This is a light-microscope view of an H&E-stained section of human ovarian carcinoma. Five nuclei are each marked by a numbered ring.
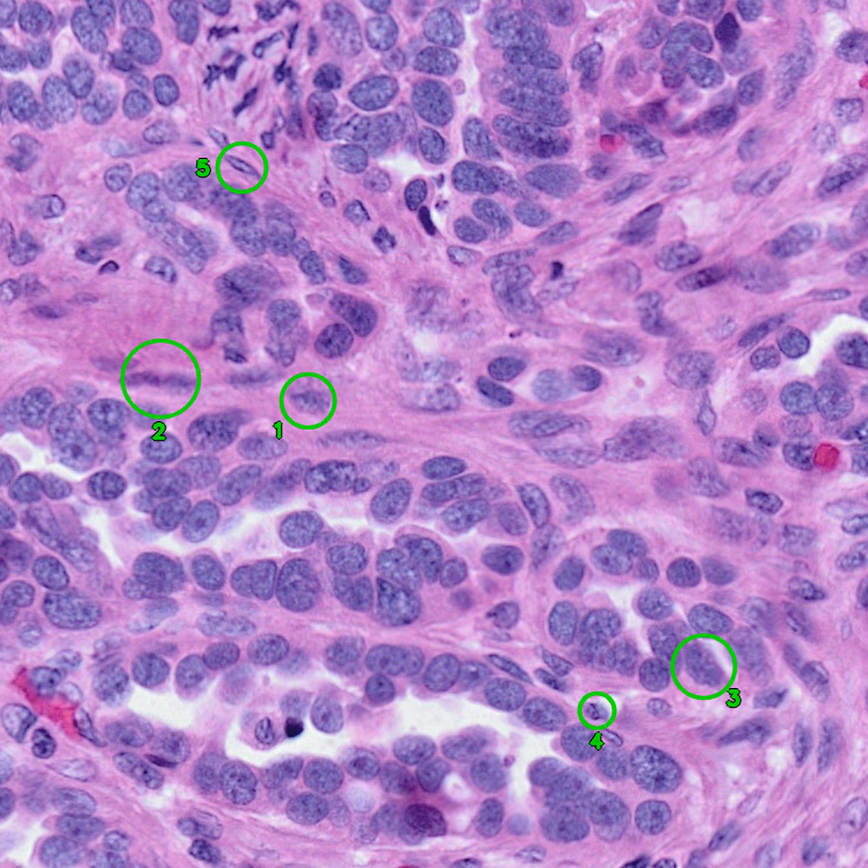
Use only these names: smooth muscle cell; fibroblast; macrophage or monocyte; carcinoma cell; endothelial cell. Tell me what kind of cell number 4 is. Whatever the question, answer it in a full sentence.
The cell that goes by number 4 is a macrophage or monocyte.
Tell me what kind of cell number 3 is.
The nucleus labelled 3 belongs to a carcinoma cell.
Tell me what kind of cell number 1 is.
Belonging to a fibroblast is the nucleus that carries the number 1.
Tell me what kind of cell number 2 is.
The cell identified by the number 2 is a fibroblast.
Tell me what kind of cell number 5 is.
The cell given label 5 is a fibroblast.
